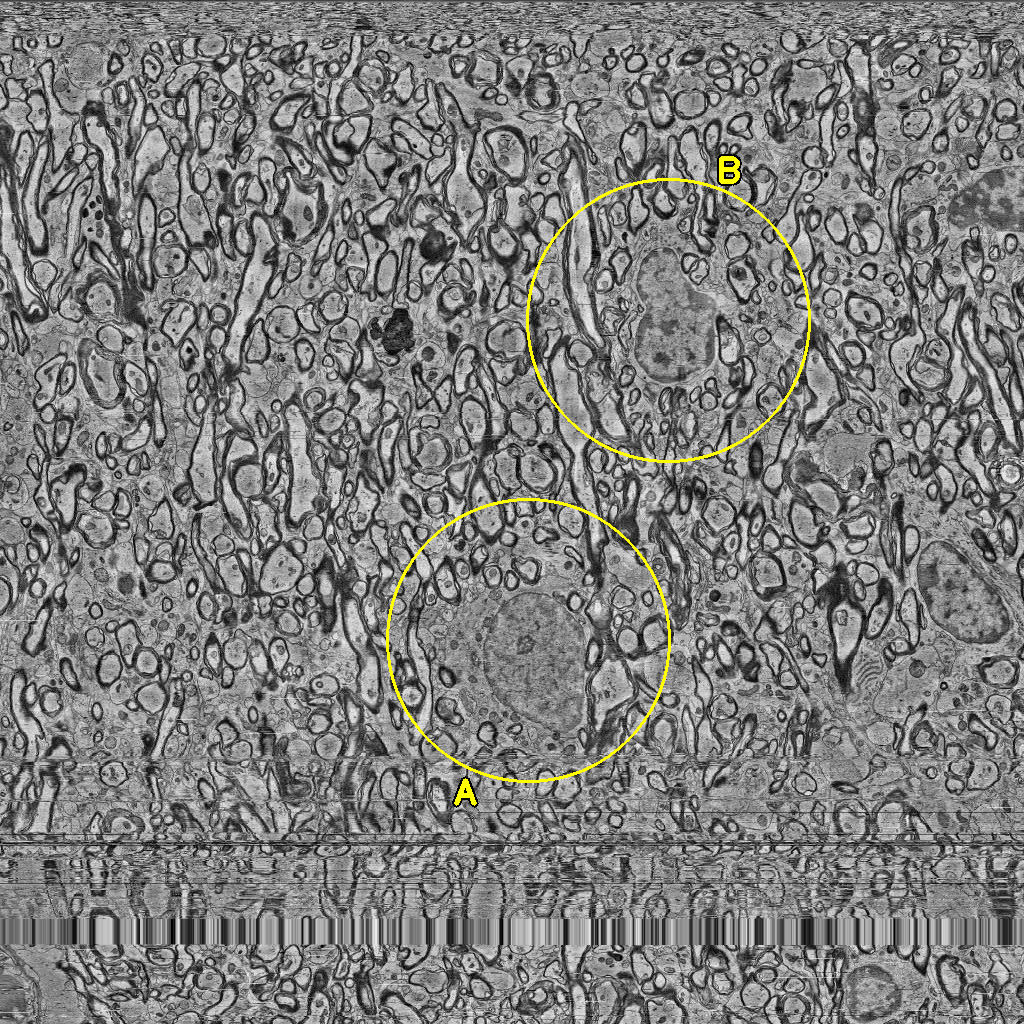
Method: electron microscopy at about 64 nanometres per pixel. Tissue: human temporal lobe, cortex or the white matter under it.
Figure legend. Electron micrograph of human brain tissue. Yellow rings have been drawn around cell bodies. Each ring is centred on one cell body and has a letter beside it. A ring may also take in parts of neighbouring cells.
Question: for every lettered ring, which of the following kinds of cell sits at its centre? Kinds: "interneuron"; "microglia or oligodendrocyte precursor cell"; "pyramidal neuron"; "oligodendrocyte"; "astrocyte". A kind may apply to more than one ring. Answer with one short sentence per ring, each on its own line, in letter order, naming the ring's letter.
Ring A is centred on an oligodendrocyte.
Ring B is centred on a microglial cell or oligodendrocyte precursor cell.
